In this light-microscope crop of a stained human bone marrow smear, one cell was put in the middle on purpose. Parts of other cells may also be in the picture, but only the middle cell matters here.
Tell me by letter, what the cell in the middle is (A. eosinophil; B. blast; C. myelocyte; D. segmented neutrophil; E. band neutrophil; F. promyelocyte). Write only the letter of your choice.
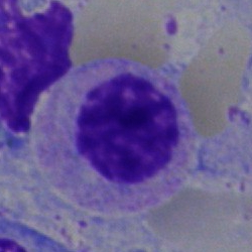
C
